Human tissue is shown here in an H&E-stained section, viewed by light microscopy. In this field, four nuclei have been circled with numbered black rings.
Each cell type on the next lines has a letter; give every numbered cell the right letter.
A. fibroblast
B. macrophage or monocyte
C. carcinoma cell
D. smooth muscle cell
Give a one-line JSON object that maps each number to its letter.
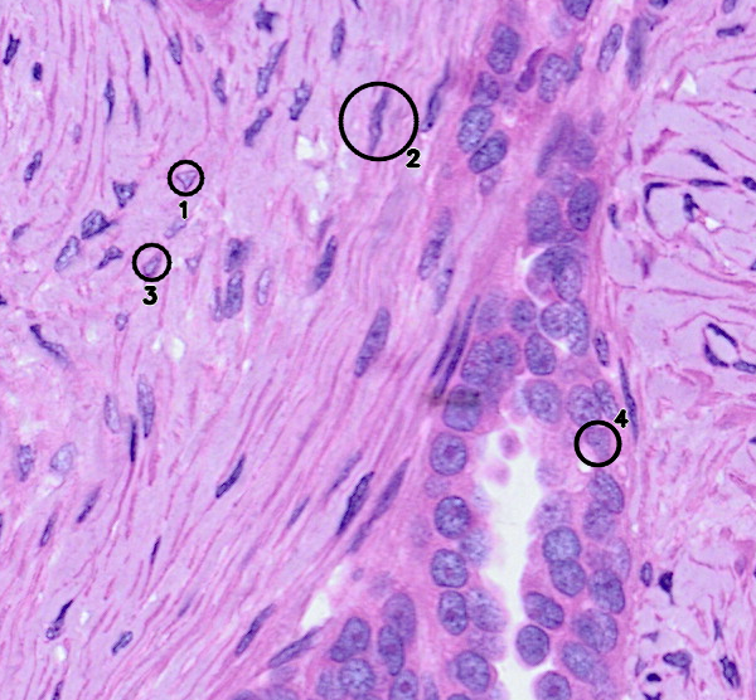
{"1": "A", "2": "A", "3": "A", "4": "C"}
